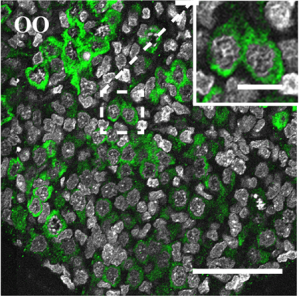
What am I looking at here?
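The germ cells are large and rounded, with a thin green rim of cytoplasm around a large, round, pale nucleus with fine granular chromatin. Surrounding somatic nuclei are smaller, oval to irregular and more brightly grey. The germ cells lie singly or in small clusters, more numerous toward the upper part of the field. The inset shows two adjacent germ cells with green cytoplasmic rings and pale round nuclei.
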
